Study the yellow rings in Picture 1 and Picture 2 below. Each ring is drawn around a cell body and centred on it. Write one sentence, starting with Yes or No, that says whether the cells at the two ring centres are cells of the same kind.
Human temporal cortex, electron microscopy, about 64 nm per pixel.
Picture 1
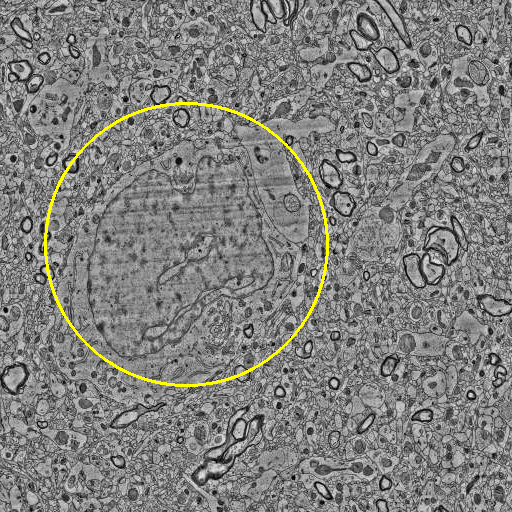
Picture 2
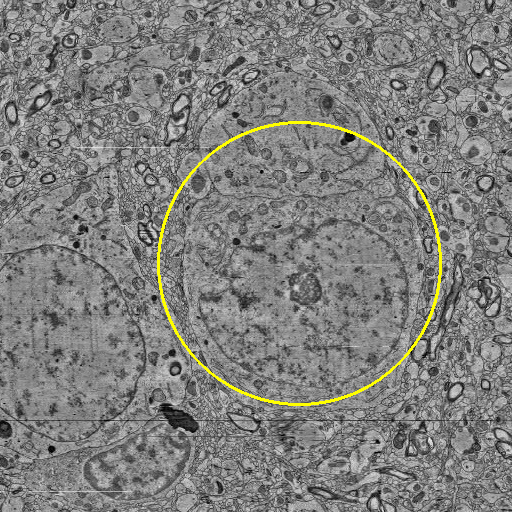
Yes, the cells at both ring centres are of the same kind.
